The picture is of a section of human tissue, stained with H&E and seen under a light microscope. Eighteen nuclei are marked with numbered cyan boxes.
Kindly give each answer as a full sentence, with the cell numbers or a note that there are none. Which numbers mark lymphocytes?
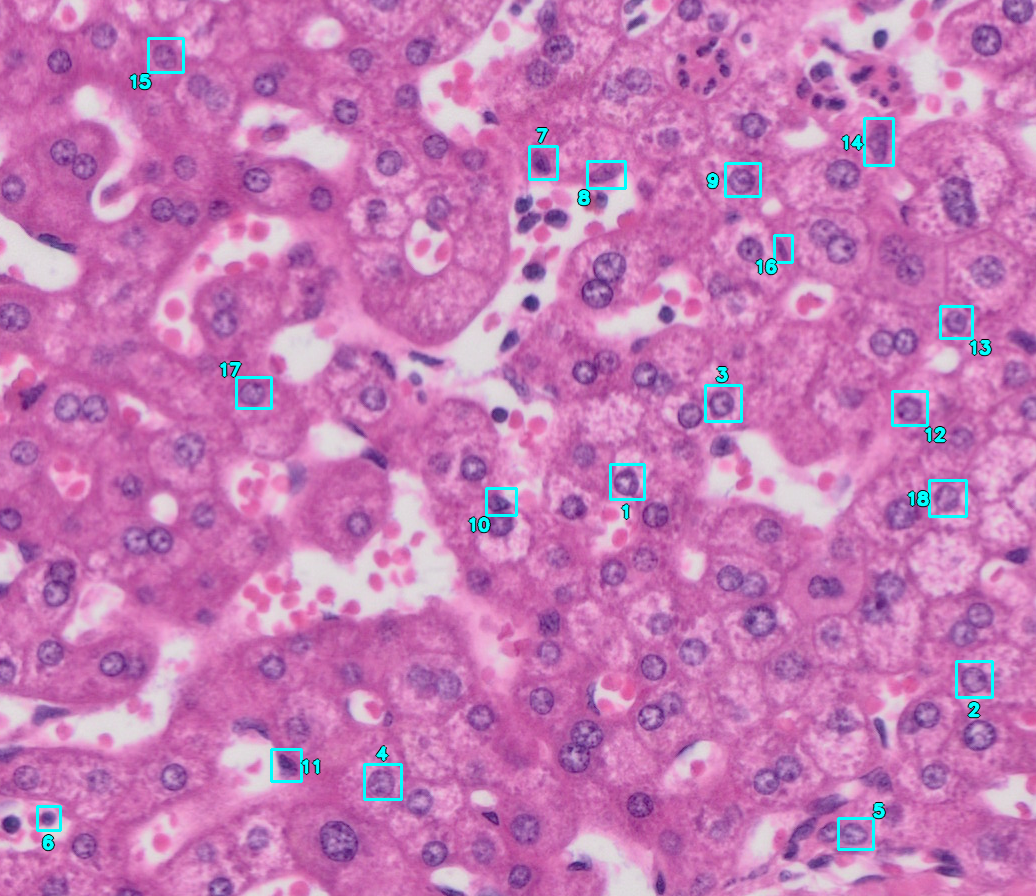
The sole numbered cell that is a lymphocyte is cell 6.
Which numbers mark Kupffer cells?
The cells picked out by numbers 8 and 14 are Kupffer cells.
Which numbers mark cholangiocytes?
Of all the numbered cells, only cell 5 is a cholangiocyte.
